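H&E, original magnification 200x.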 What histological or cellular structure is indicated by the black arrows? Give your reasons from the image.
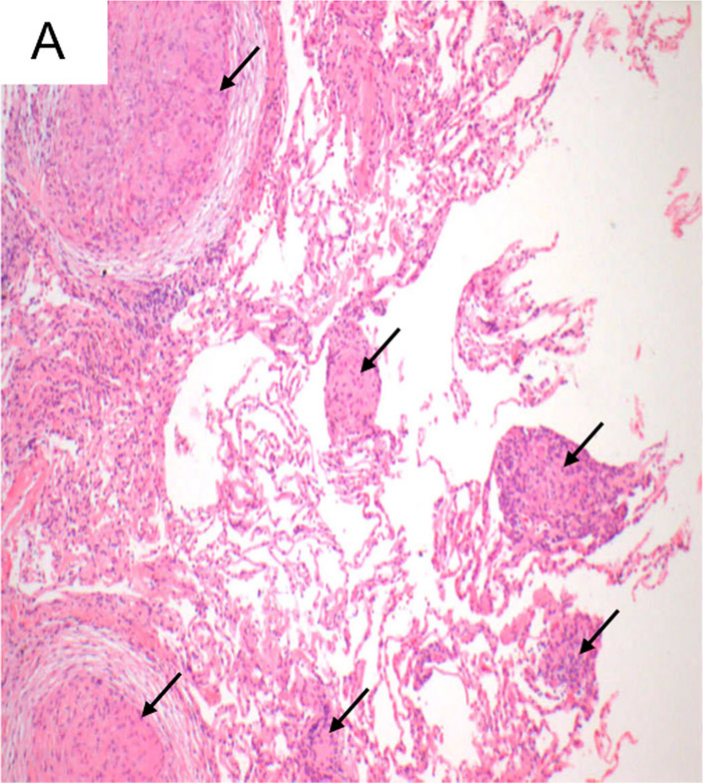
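Compact, rounded nodules of pale pink cells lie among thin alveolar walls. The two large nodules at the left are ringed by concentric fibrous layers. No necrotic debris is seen in the nodule centres.
Conclusion: non-necrotising epithelioid granulomas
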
